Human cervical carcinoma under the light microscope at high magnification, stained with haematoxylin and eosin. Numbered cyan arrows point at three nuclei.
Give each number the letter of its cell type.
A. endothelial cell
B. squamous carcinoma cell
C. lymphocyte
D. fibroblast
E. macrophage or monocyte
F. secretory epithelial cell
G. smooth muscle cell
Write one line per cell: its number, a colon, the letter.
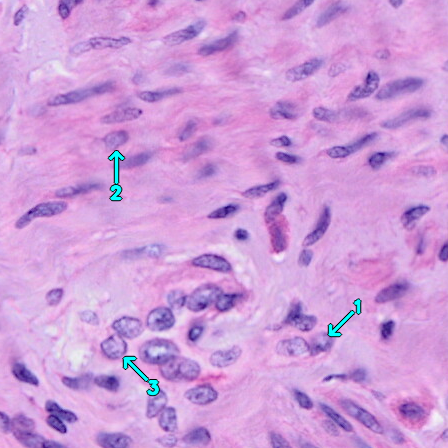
1: A
2: G
3: A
